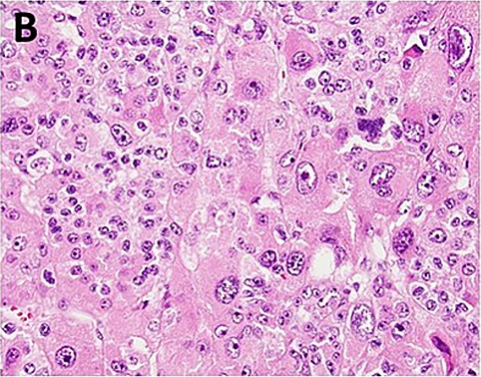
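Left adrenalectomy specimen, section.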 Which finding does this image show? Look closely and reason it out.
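Marked nuclear atypia. Nuclei vary greatly in size, some many times larger than others. Several enlarged nuclei have prominent nucleoli. An irregular, dark, lobulated nucleus lies among the cells.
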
